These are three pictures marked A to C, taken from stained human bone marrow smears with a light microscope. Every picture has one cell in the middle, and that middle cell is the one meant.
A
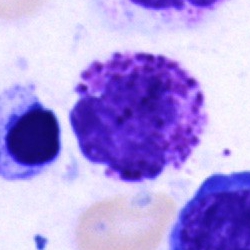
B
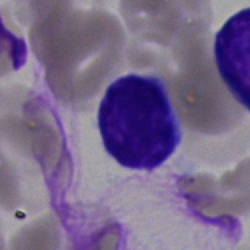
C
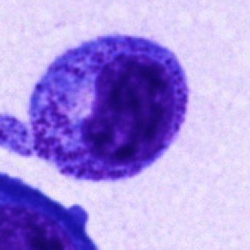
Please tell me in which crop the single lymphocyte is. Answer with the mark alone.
B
